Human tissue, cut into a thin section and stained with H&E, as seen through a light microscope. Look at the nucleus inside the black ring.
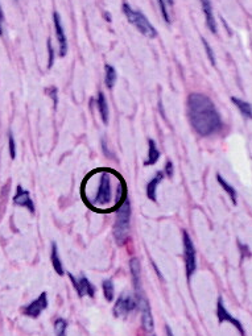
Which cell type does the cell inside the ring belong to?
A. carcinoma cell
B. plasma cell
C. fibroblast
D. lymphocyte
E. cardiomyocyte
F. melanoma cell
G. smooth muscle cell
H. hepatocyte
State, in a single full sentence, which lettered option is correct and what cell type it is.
Option C, identifying the cell inside the ring as a fibroblast, is correct.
